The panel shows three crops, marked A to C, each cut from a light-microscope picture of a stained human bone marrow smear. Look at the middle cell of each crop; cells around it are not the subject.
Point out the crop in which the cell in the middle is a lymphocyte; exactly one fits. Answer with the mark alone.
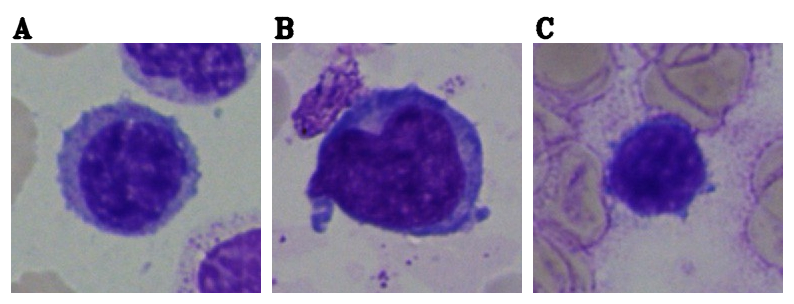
C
